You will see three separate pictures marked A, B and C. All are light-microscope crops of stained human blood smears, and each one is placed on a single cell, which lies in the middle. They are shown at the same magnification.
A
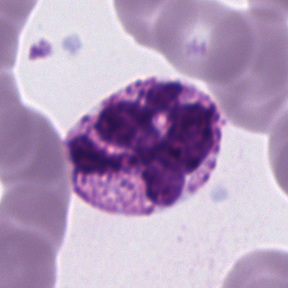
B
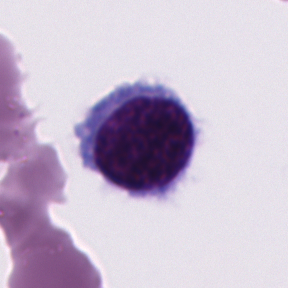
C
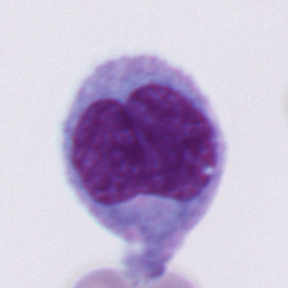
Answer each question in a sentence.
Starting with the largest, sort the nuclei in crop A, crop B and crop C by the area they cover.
The order is C, A, B, beginning with the largest.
